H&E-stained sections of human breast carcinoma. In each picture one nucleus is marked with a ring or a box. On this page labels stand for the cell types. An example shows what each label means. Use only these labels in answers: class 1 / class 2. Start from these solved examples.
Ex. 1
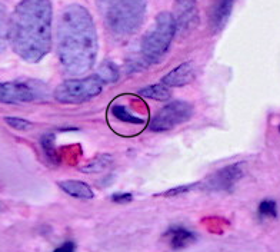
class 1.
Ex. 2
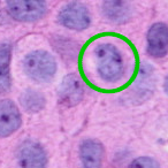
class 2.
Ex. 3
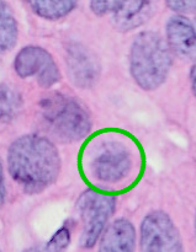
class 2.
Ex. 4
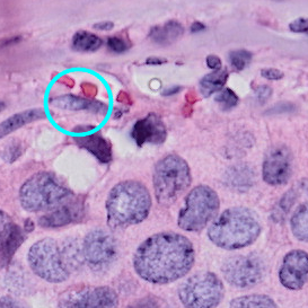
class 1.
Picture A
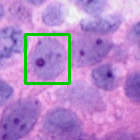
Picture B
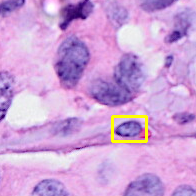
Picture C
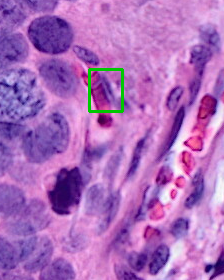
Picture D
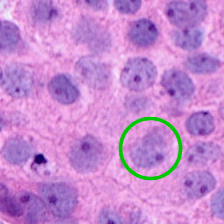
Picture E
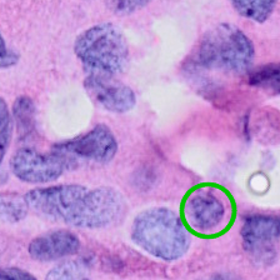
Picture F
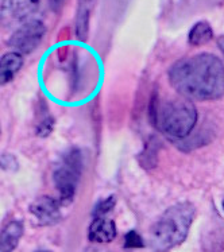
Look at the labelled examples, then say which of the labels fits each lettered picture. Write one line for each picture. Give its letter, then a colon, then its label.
A: class 2.
B: class 1.
C: class 1.
D: class 2.
E: class 2.
F: class 1.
